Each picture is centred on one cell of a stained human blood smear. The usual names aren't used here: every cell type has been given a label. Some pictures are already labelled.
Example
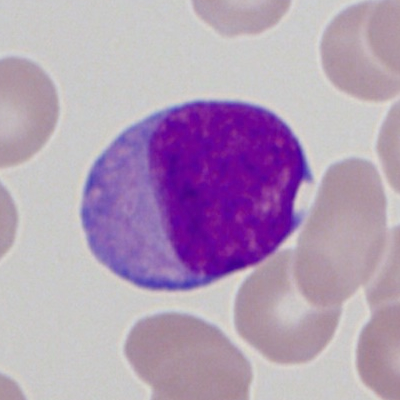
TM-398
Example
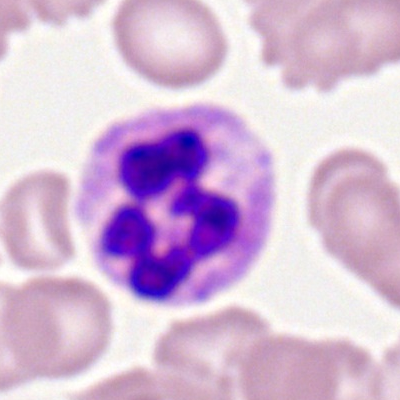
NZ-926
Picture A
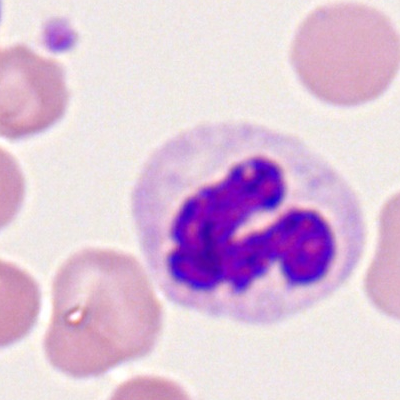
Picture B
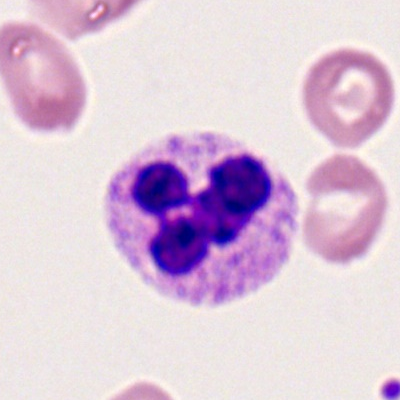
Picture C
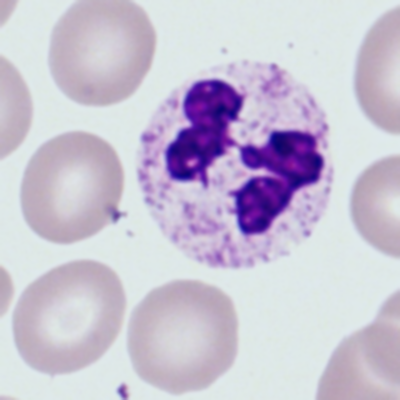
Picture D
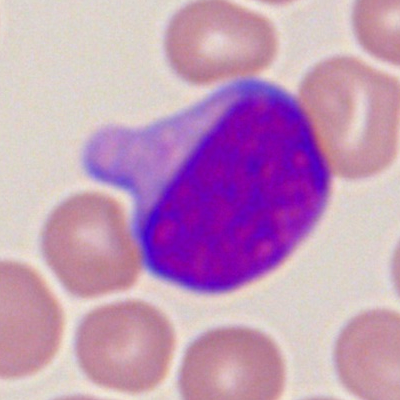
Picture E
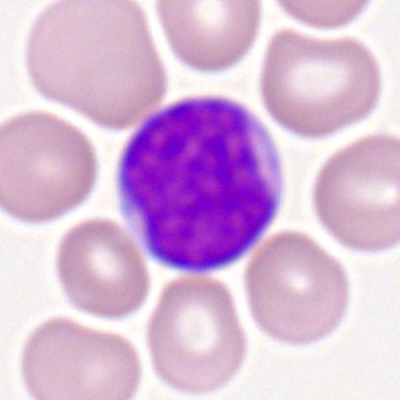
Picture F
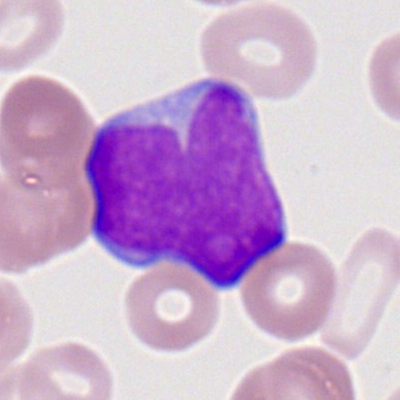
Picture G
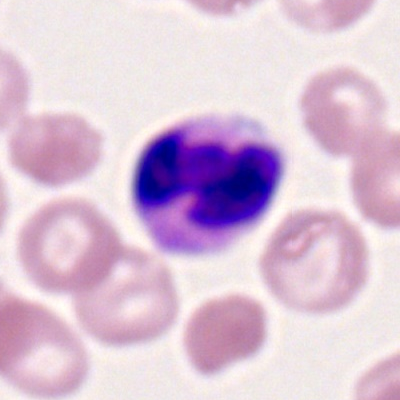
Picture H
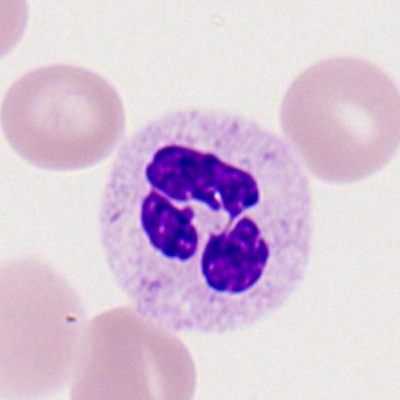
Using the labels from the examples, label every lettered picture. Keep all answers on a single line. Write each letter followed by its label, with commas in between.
A NZ-926, B NZ-926, C NZ-926, D TM-398, E TM-398, F TM-398, G NZ-926, H NZ-926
